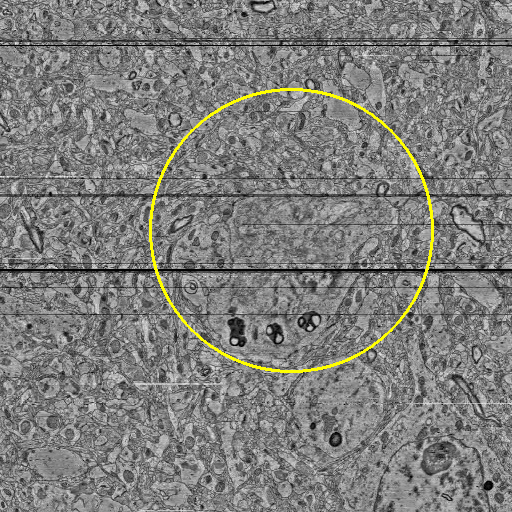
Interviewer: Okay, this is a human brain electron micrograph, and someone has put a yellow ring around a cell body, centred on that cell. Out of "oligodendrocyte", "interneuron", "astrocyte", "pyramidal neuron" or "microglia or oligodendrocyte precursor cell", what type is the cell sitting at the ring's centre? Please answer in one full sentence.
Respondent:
The cell at the centre of the yellow ring in this picture is an interneuron.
